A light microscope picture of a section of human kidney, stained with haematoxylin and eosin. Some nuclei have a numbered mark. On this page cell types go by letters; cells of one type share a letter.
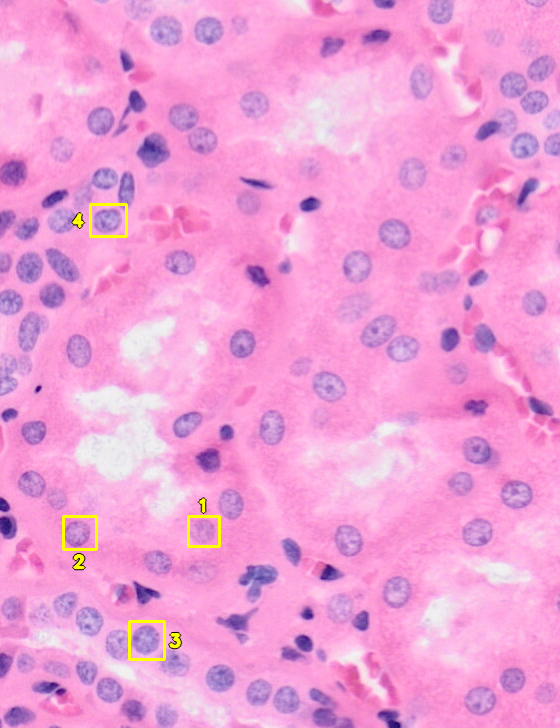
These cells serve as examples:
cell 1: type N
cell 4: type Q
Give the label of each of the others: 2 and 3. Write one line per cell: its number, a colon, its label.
2: type N
3: type Q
